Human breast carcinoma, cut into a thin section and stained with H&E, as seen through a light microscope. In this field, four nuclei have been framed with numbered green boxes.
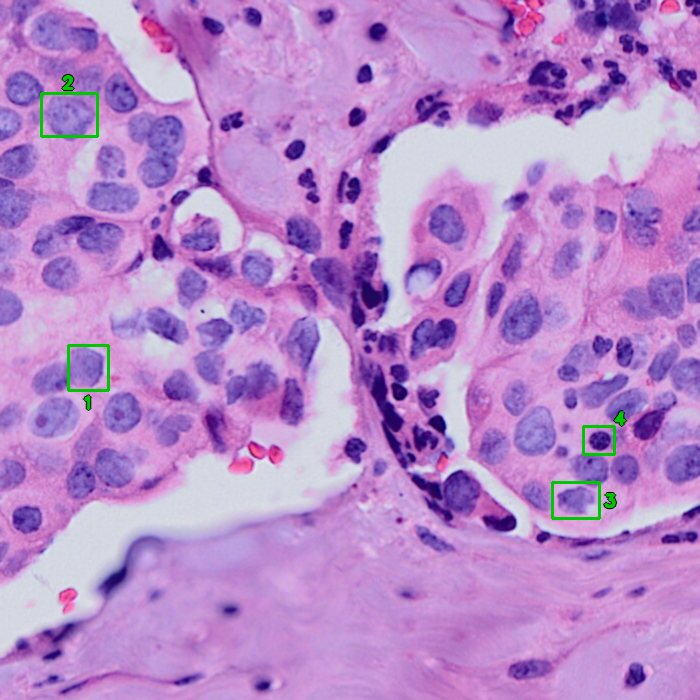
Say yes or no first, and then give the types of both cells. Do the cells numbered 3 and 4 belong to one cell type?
No, by type, cell 3 is a carcinoma cell and cell 4 is a lymphocyte.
